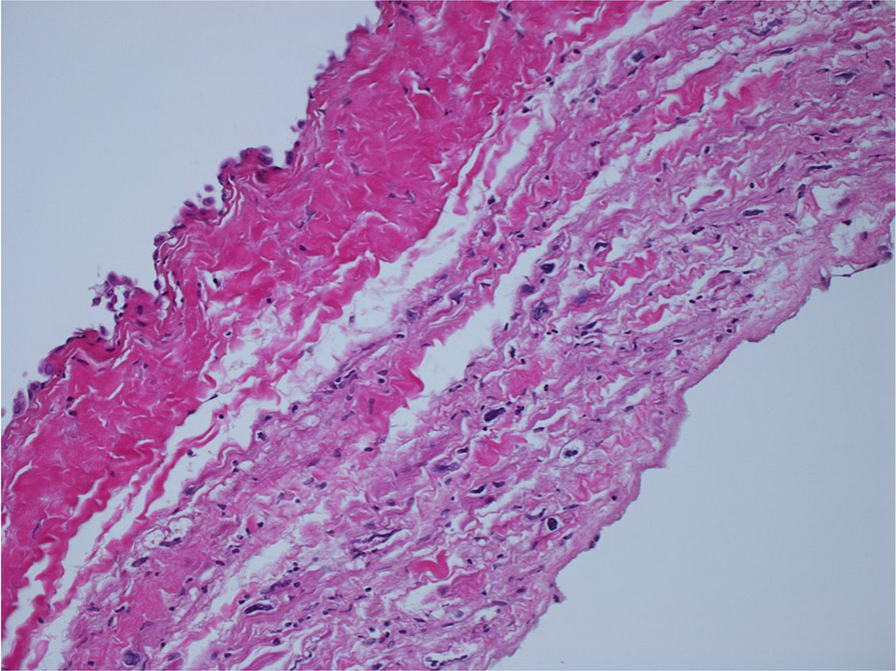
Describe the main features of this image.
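One side is a band of dense, deeply pink, wavy fibrous tissue whose free edge is lined by a single row of small, flattened to rounded cells. The rest of the strip is looser, paler pink-violet tissue with cleft-like spaces and scattered spindle-shaped and some larger, darker nuclei; the wall is thin and holds little recognisable muscle.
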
